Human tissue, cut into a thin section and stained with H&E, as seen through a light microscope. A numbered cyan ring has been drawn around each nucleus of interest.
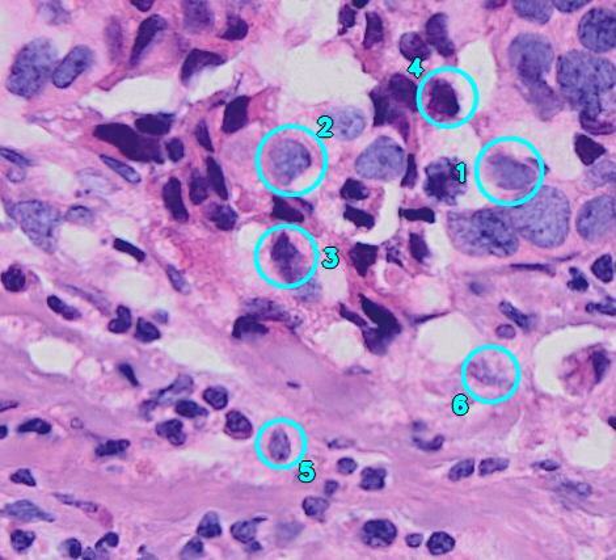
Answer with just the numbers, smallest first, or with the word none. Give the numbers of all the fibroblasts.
6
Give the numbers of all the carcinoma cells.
1, 2, 3, 4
